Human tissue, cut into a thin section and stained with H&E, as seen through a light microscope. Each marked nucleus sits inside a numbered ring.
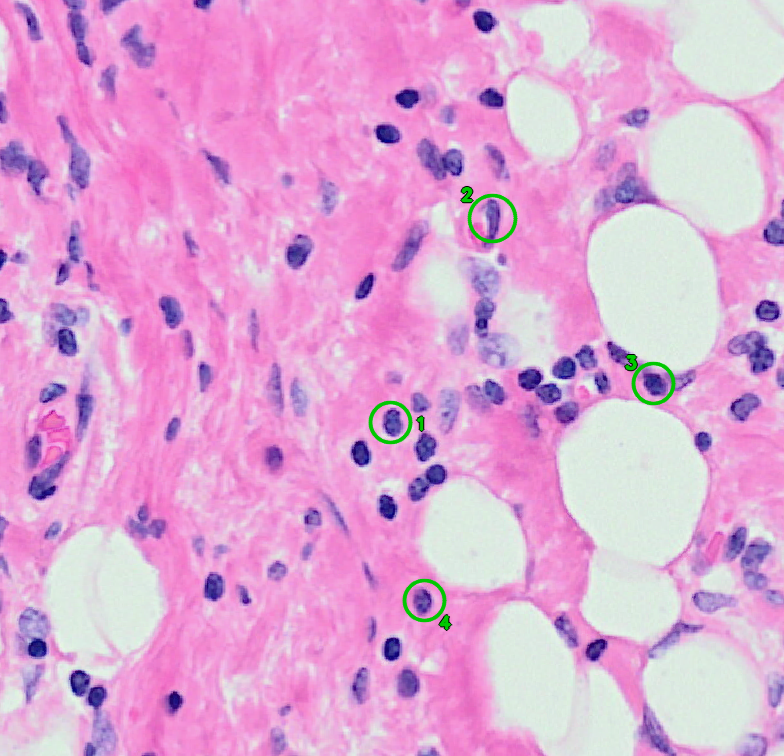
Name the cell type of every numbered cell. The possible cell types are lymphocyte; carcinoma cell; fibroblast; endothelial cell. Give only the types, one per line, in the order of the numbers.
lymphocyte
endothelial cell
lymphocyte
lymphocyte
